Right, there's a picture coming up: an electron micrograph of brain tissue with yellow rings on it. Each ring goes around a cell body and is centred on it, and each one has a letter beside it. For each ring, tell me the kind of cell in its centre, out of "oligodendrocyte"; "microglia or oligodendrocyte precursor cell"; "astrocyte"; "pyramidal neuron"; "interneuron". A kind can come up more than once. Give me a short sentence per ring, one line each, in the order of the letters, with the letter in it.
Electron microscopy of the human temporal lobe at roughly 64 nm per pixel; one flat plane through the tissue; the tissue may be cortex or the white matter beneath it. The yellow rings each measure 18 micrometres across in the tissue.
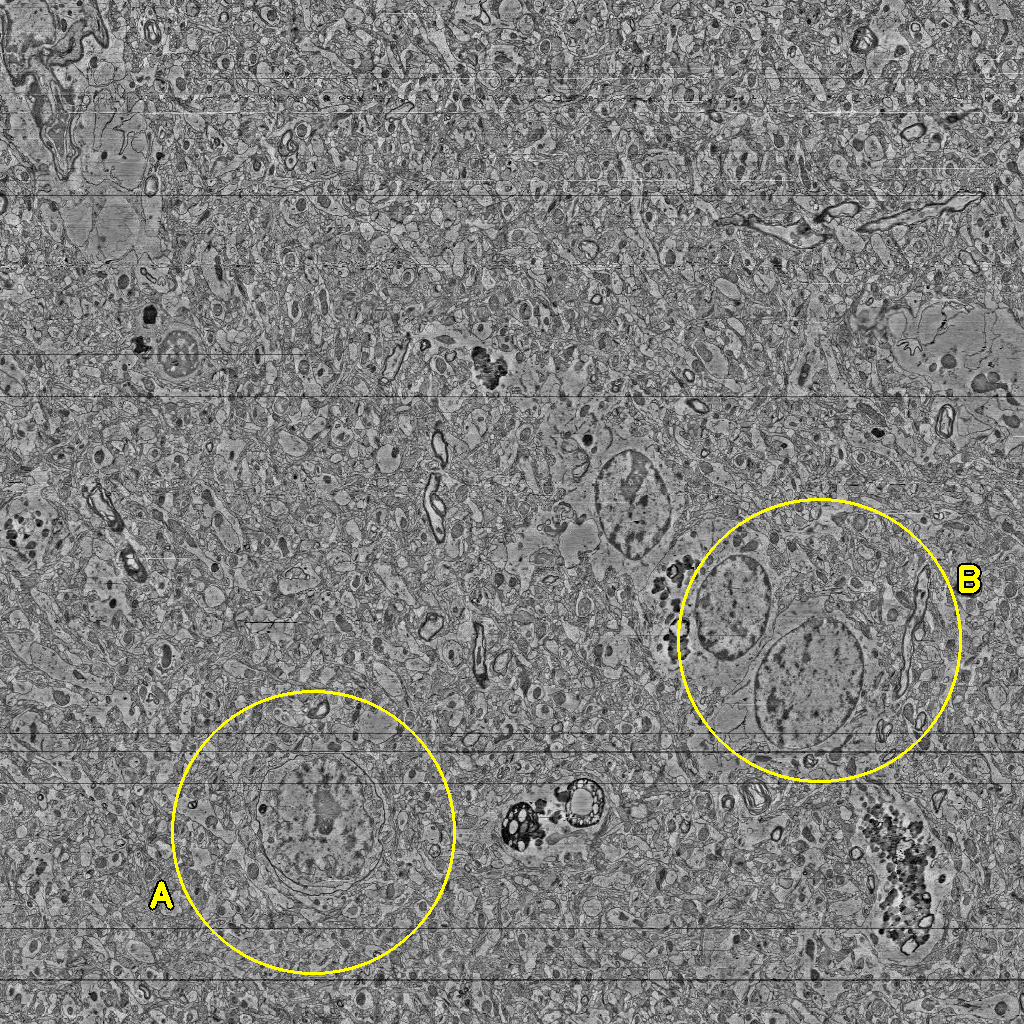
That's an interneuron in ring A.
That's an astrocyte in ring B.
